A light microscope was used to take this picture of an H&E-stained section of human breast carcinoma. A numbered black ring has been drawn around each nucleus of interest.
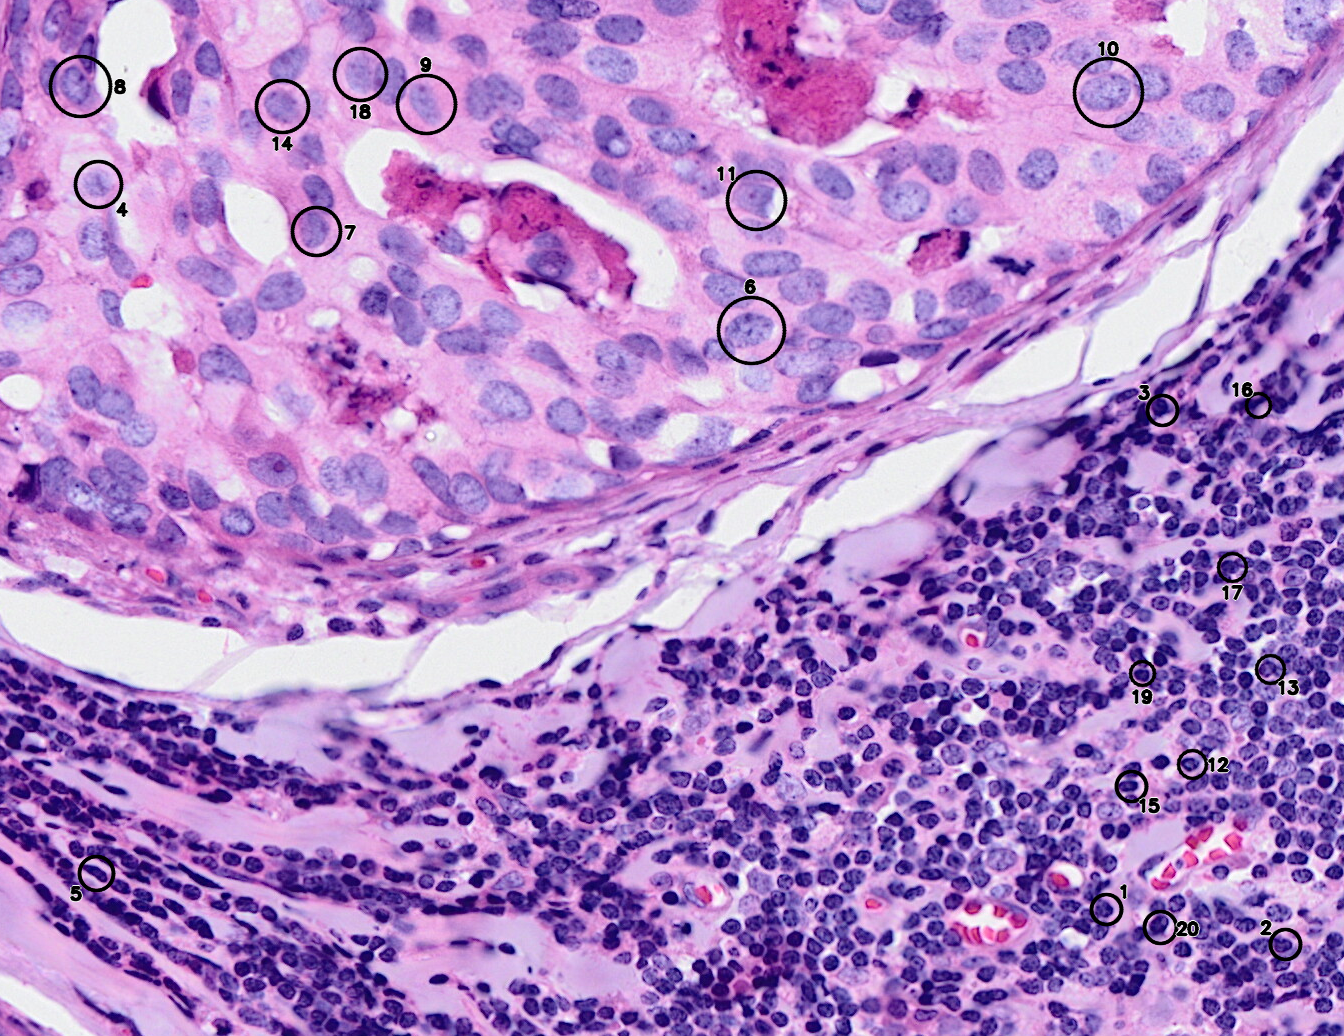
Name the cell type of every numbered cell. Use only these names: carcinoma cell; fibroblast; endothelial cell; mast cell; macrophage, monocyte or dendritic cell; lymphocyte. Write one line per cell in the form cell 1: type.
cell 1: lymphocyte
cell 2: lymphocyte
cell 3: lymphocyte
cell 4: carcinoma cell
cell 5: lymphocyte
cell 6: carcinoma cell
cell 7: carcinoma cell
cell 8: carcinoma cell
cell 9: carcinoma cell
cell 10: carcinoma cell
cell 11: carcinoma cell
cell 12: lymphocyte
cell 13: lymphocyte
cell 14: carcinoma cell
cell 15: lymphocyte
cell 16: lymphocyte
cell 17: lymphocyte
cell 18: carcinoma cell
cell 19: lymphocyte
cell 20: lymphocyte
